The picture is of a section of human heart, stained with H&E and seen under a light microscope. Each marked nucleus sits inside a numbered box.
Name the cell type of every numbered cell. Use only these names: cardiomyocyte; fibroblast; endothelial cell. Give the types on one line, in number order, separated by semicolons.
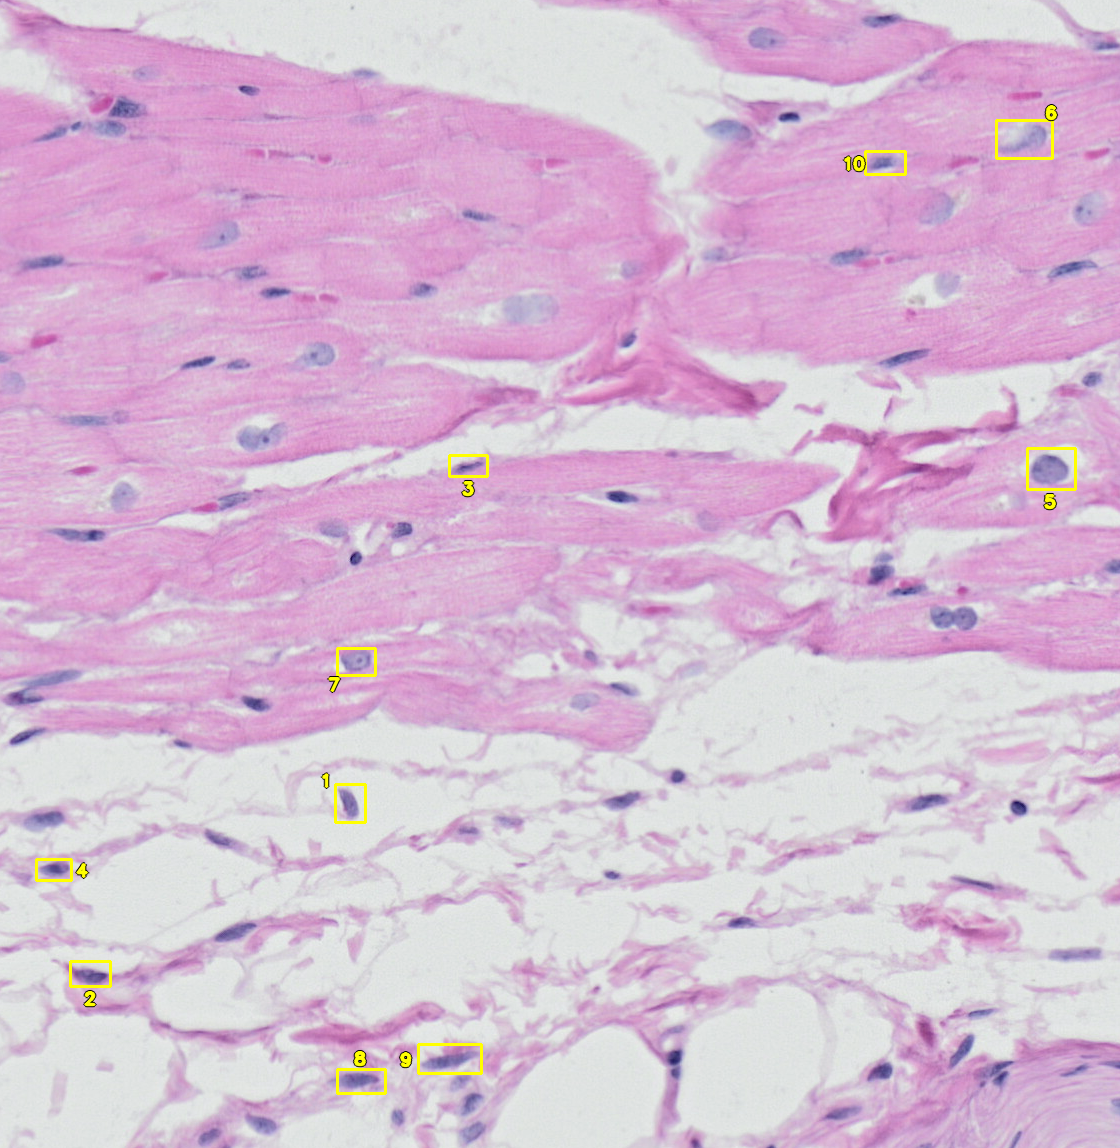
fibroblast; fibroblast; fibroblast; fibroblast; cardiomyocyte; cardiomyocyte; cardiomyocyte; fibroblast; fibroblast; endothelial cell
